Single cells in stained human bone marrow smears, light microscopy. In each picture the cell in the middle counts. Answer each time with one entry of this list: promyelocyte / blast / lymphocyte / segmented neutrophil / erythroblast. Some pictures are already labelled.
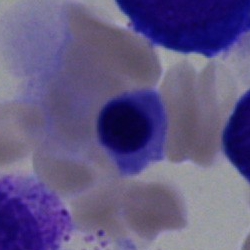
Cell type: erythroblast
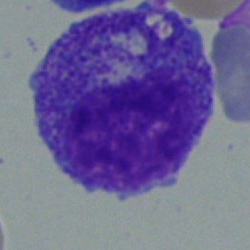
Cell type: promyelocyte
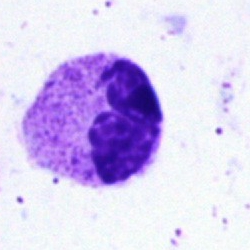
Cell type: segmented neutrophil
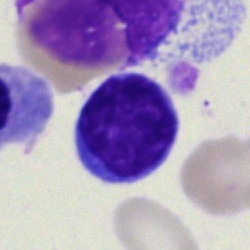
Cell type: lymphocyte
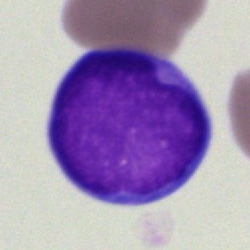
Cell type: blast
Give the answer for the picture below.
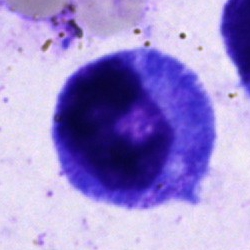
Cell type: promyelocyte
